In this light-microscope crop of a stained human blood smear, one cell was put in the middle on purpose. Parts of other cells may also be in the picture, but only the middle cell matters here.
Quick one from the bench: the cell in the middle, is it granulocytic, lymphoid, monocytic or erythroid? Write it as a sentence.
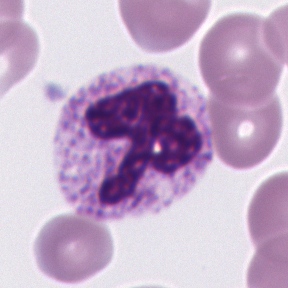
Assigned to the granulocytic lineage is the cell at the center.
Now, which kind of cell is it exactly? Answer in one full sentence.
The target cell in the middle of the crop is a segmented neutrophil.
